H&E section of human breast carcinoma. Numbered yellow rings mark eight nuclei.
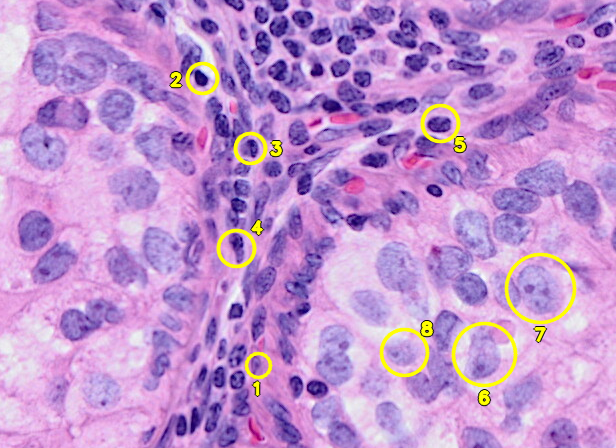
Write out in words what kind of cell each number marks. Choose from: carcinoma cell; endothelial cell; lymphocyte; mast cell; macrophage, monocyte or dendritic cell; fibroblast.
Cell 1 is an endothelial cell. Cells 2, 3, 4 and 5 are lymphocytes. Cells 6, 7 and 8 are carcinoma cells.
